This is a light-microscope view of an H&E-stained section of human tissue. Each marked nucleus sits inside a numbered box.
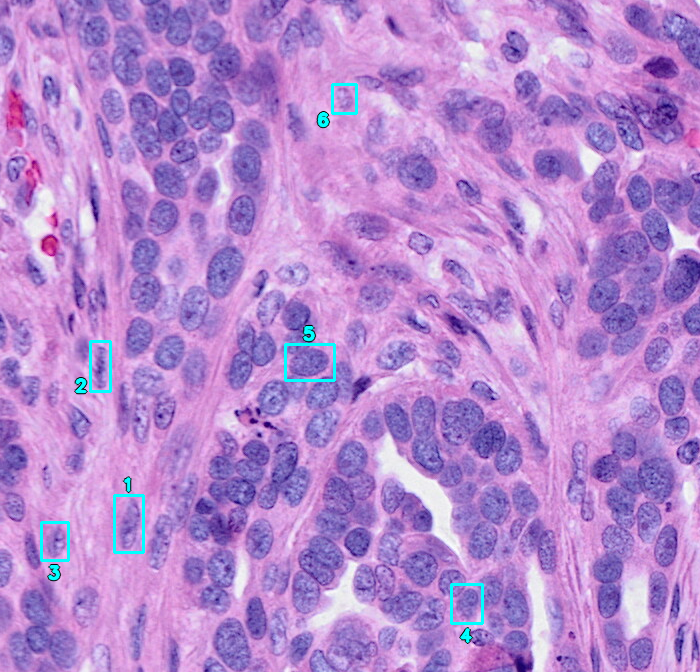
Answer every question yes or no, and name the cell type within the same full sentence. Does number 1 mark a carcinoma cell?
No, a carcinoma cell is not what cell 1 is; it is a fibroblast.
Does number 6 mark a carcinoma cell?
No, calling cell 6 a carcinoma cell is incorrect; it is a fibroblast.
